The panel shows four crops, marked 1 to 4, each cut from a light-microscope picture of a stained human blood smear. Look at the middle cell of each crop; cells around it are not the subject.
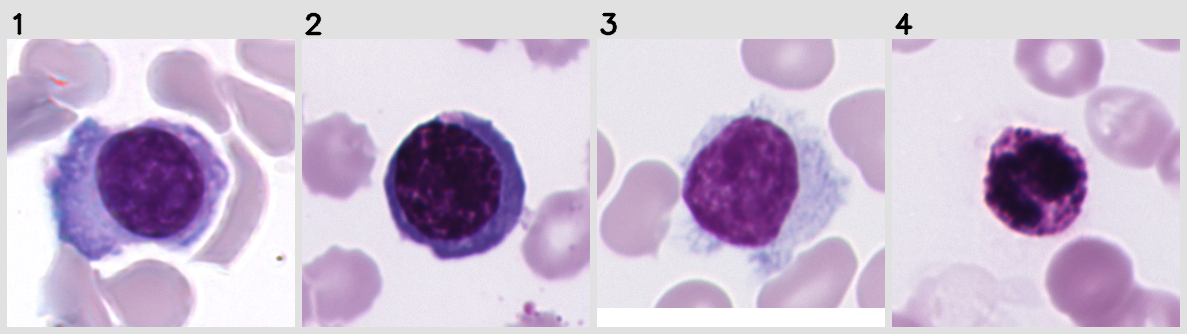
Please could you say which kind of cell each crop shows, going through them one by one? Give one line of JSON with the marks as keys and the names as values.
{"1": "plasma cell", "2": "normoblast", "3": "hairy cell", "4": "basophil"}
